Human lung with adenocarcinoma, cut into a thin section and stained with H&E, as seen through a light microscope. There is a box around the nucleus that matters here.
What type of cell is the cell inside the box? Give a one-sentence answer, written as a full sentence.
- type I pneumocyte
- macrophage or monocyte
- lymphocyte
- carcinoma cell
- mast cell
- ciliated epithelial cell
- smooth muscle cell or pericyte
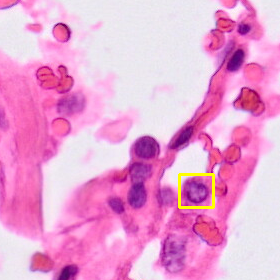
Cell type answer for this item: the cell inside the box is a macrophage or monocyte.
